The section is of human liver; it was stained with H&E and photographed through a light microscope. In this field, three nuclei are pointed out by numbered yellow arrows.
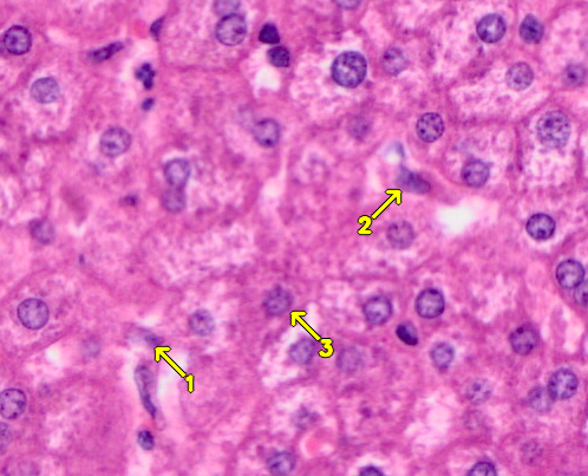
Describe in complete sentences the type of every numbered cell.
Cell 1 is a Kupffer cell, cell 2 is a Kupffer cell and cell 3 is a hepatocyte.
